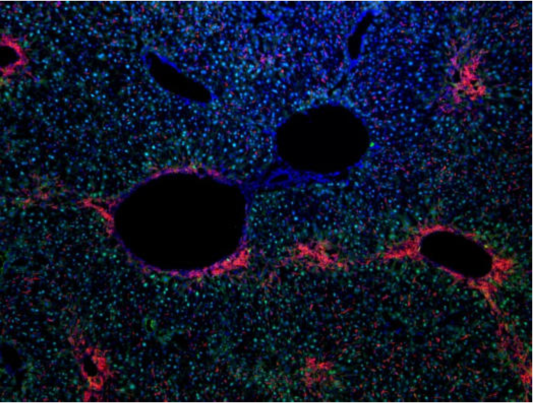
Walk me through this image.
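This is a low-magnification view of liver, where a dense field of small blue nuclei fills the parenchyma between several large, round, empty vessel lumens. Red-stained cells gather in bands and patches around some of the vessels, with fewer red cells scattered through the rest of the tissue. Green nuclear signal is dotted across the parenchyma among the blue nuclei.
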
